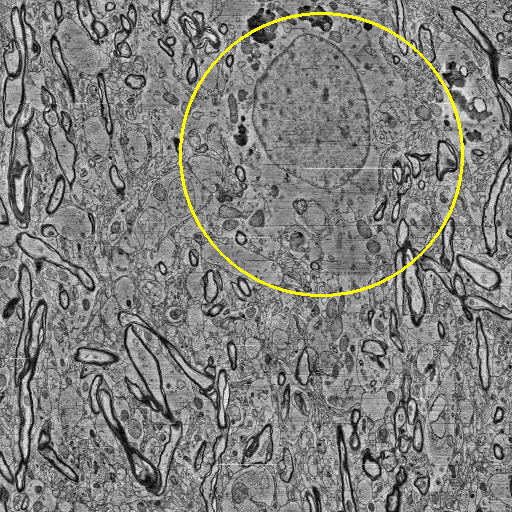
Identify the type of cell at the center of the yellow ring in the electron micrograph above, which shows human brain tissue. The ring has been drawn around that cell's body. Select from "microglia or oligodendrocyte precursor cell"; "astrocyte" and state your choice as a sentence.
The yellow ring is centered on the body of an astrocyte.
